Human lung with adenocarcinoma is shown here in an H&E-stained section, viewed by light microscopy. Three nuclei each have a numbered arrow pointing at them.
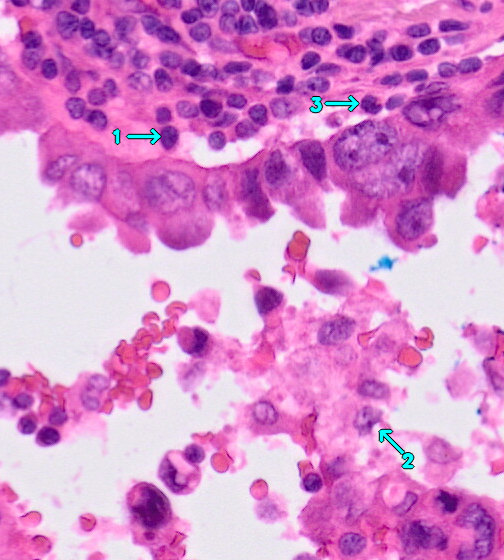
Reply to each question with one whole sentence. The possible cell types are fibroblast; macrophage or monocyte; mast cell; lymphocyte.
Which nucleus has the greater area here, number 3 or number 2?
Nucleus 2 covers more area, about 2 times as much as nucleus 3.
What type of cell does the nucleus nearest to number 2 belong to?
Closest to number 2 lies the nucleus of a macrophage or monocyte.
